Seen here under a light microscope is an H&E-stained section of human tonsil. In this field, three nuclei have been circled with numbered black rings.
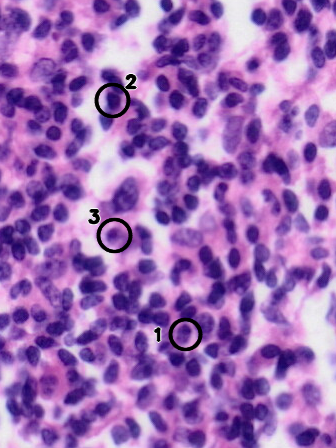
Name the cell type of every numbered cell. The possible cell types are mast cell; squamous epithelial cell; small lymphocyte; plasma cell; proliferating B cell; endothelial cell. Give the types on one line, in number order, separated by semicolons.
small lymphocyte; small lymphocyte; proliferating B cell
